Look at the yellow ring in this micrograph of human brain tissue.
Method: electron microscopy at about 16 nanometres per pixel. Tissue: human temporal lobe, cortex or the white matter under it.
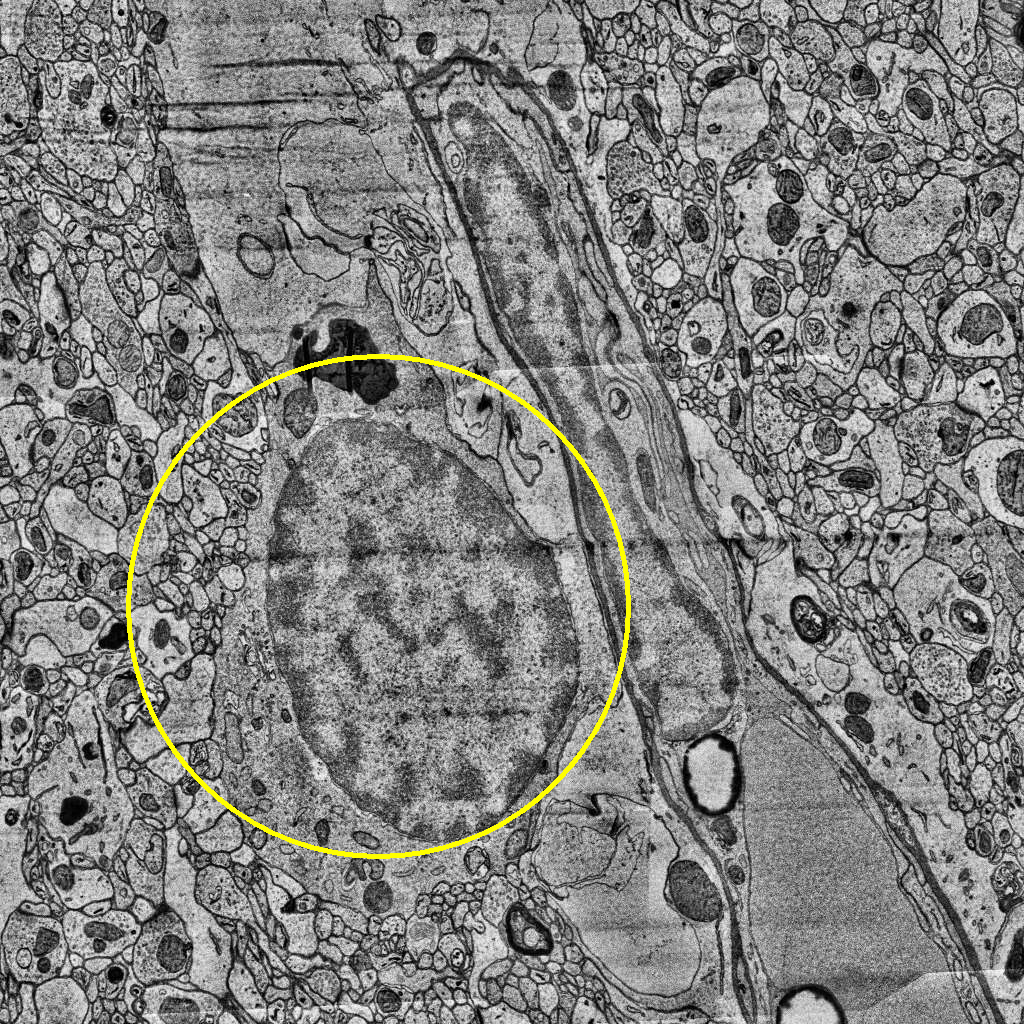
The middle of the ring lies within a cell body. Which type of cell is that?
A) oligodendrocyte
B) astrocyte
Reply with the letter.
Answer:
A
